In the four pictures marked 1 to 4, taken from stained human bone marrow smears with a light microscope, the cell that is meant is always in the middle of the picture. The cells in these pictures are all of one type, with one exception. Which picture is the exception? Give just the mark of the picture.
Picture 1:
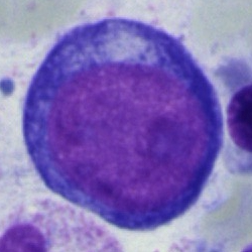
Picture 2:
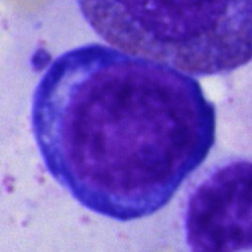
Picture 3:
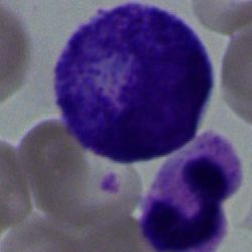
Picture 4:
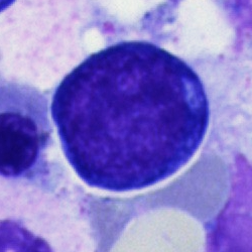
3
